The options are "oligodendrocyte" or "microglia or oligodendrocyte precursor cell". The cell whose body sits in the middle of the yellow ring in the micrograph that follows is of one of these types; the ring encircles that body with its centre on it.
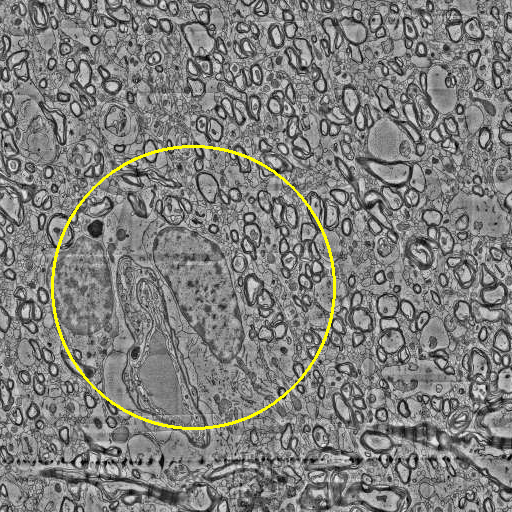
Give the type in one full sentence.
Going by the micrograph, the cell centred in the yellow ring is a microglial cell or oligodendrocyte precursor cell.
